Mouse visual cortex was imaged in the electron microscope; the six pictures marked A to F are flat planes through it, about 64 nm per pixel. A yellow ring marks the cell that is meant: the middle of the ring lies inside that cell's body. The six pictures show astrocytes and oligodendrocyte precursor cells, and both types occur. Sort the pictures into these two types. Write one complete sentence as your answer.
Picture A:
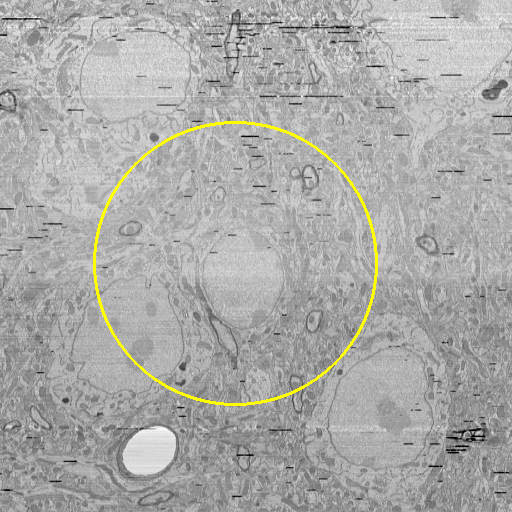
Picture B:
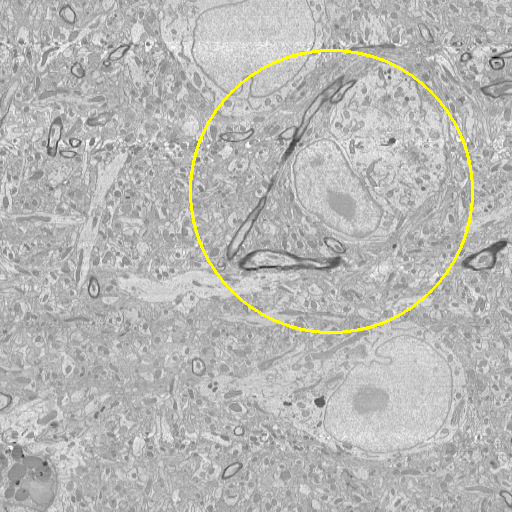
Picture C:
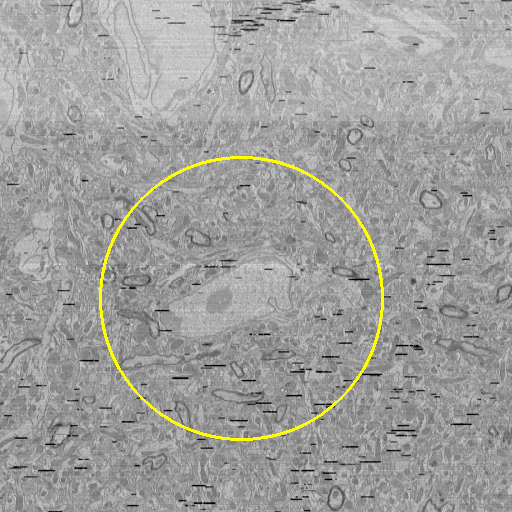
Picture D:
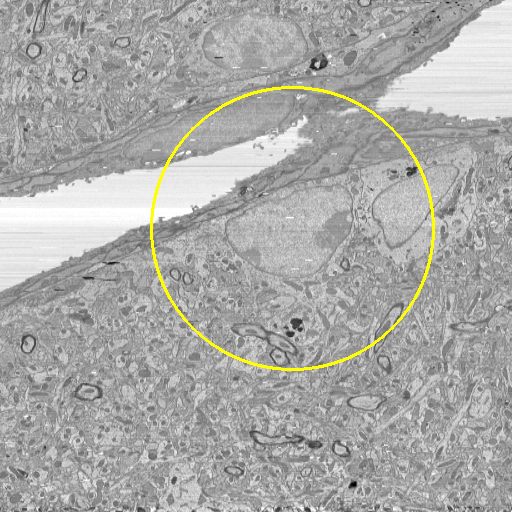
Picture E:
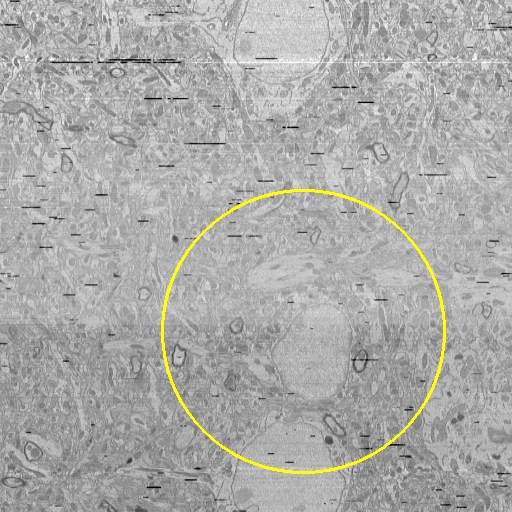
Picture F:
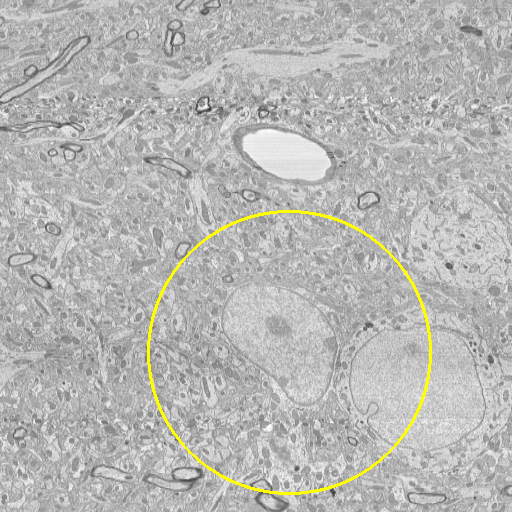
Pictures A, D, E and F show astrocytes; pictures B and C show oligodendrocyte precursor cells.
